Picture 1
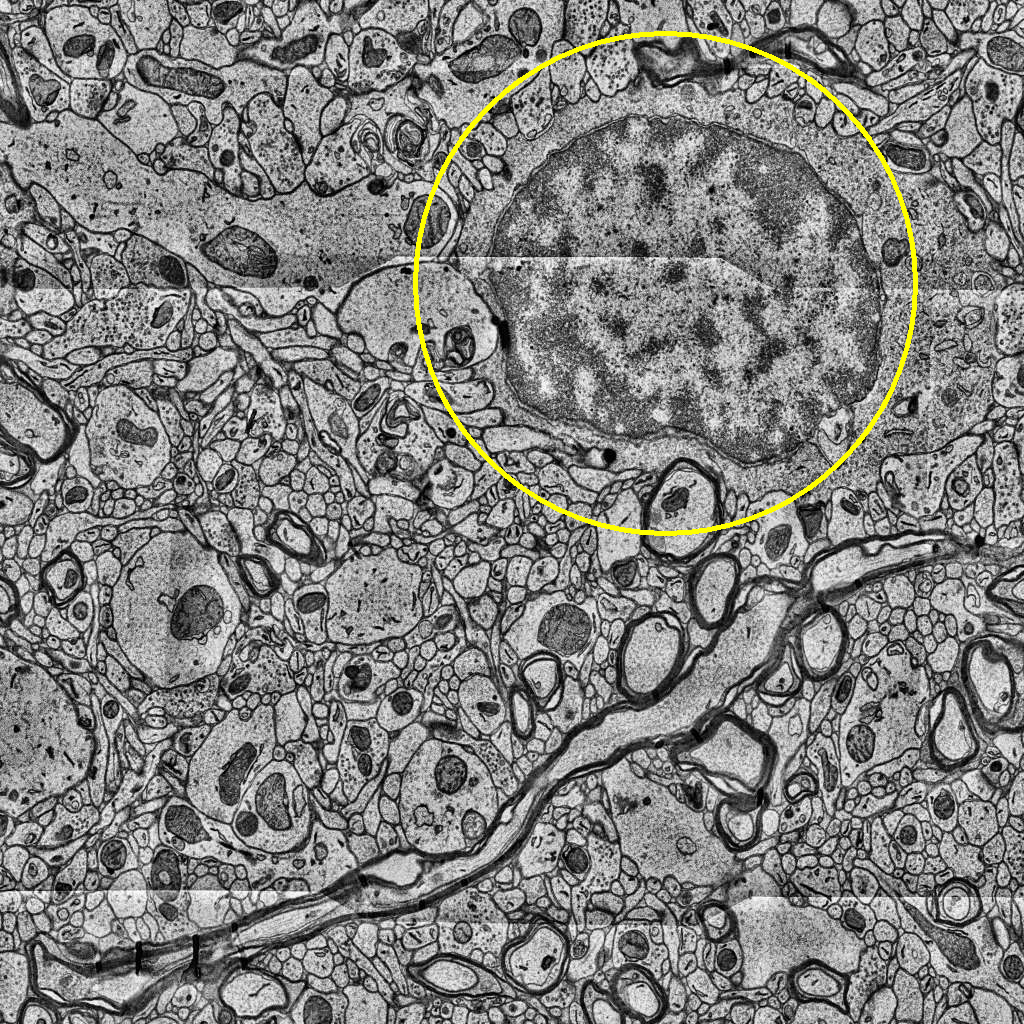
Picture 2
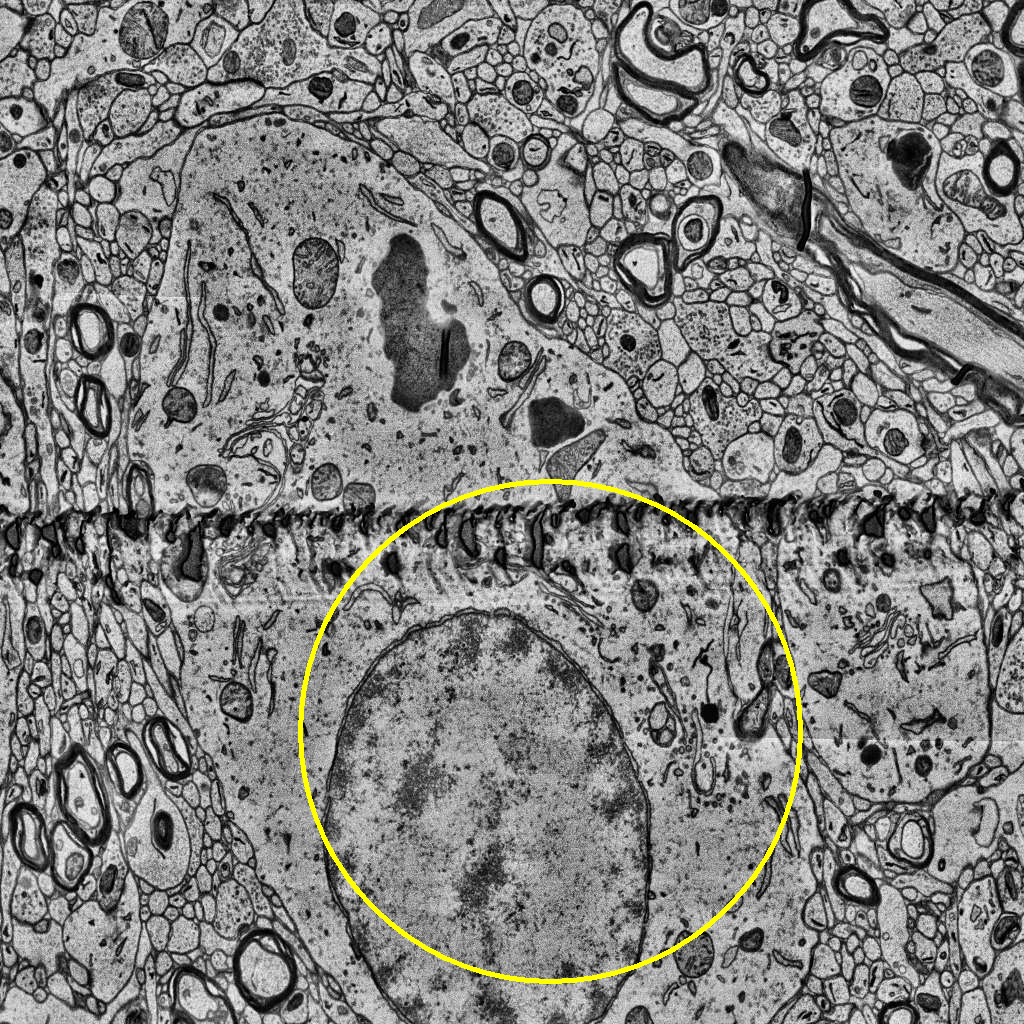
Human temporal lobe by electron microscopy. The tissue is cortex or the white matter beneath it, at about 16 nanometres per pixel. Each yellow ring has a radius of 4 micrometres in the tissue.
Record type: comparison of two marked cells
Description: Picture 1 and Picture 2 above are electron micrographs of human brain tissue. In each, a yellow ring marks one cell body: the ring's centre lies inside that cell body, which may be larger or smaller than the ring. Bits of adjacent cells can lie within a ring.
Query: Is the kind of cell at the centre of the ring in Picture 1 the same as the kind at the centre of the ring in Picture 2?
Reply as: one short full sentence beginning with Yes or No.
No, the two cells at the ring centres are of two separate kinds.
